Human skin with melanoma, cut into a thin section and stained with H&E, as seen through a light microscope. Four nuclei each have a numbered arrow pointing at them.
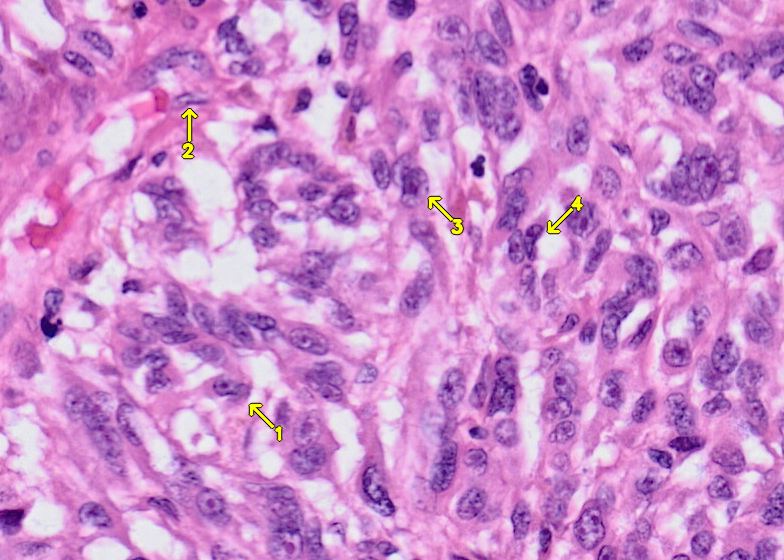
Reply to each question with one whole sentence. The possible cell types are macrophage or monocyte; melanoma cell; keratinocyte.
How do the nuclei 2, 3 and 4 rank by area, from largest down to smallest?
Largest first, the order by area is 3, 4, 2.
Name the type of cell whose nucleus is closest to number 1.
It is a melanoma cell whose nucleus is nearest to number 1.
